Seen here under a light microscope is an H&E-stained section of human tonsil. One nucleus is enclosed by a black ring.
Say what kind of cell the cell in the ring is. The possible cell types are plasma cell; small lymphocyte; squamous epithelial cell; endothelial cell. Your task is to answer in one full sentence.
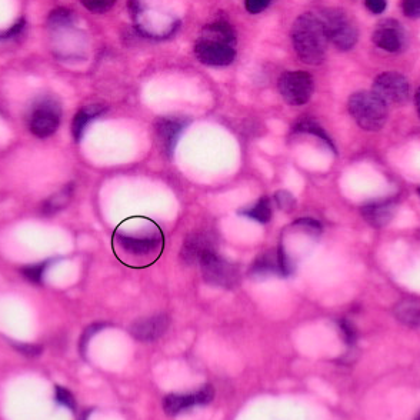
In this tissue section, the cell in the ring is to be classed as a squamous epithelial cell.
